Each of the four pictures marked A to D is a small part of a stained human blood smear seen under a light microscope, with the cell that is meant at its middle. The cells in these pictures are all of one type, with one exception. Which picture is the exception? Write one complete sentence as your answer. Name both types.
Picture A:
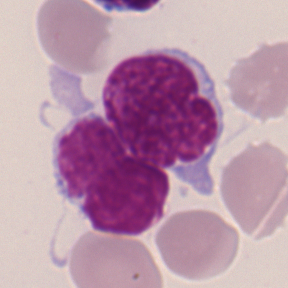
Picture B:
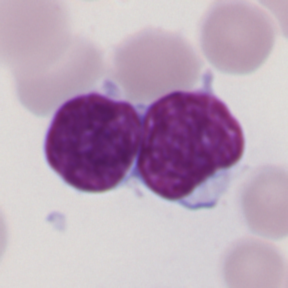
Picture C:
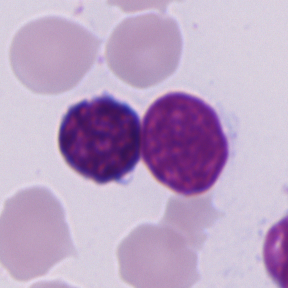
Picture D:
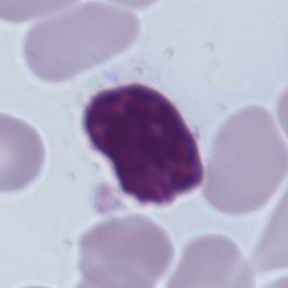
Unlike the rest, which show myeloblasts, picture D shows a smudge cell.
